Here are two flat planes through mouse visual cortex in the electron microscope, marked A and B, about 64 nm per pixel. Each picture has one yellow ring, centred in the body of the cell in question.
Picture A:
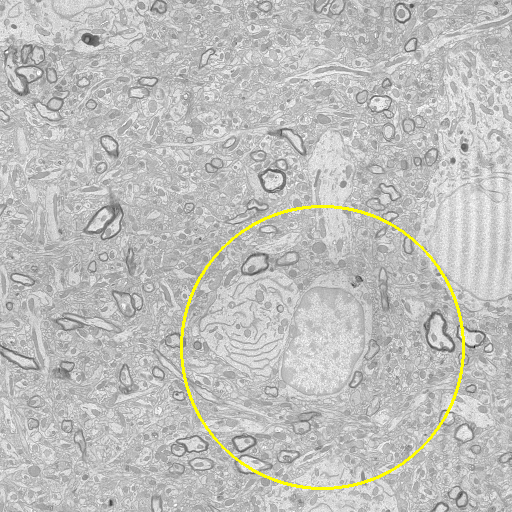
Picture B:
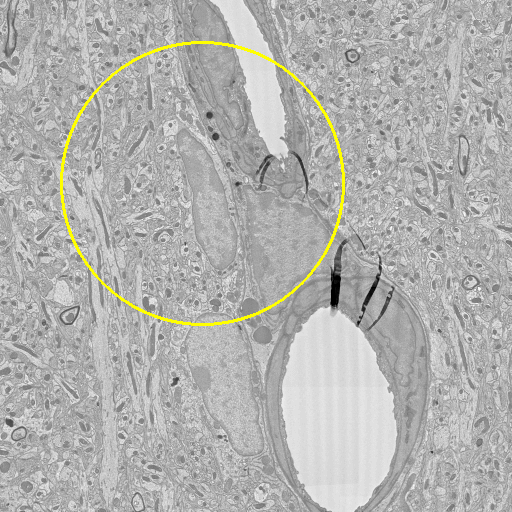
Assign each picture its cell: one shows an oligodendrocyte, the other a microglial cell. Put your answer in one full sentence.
Picture A shows an oligodendrocyte and picture B shows a microglial cell.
